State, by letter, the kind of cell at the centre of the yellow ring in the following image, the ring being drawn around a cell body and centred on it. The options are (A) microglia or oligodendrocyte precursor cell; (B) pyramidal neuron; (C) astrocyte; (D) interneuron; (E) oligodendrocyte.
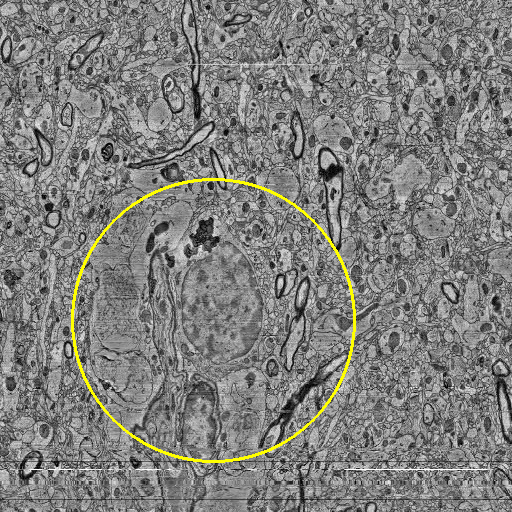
E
